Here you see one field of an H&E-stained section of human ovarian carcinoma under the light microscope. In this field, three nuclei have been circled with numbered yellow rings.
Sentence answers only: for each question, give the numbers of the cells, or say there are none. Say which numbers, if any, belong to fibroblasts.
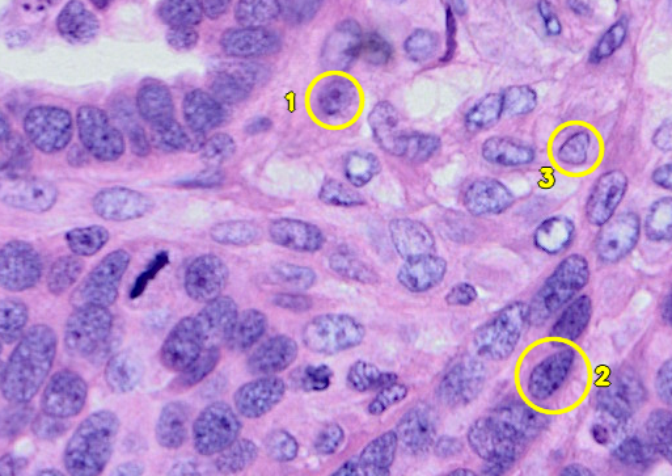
The cells picked out by numbers 1 and 3 are fibroblasts.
